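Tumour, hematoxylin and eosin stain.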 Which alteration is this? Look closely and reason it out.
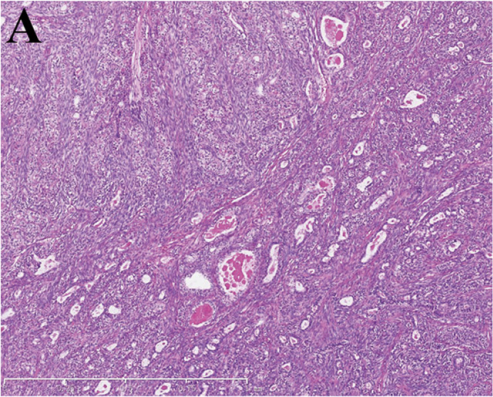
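A mixture of spindle cell and epithelioid components. Cellular fascicles of elongated cells sit beside areas with small gland-like spaces. Some spaces contain pink material.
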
